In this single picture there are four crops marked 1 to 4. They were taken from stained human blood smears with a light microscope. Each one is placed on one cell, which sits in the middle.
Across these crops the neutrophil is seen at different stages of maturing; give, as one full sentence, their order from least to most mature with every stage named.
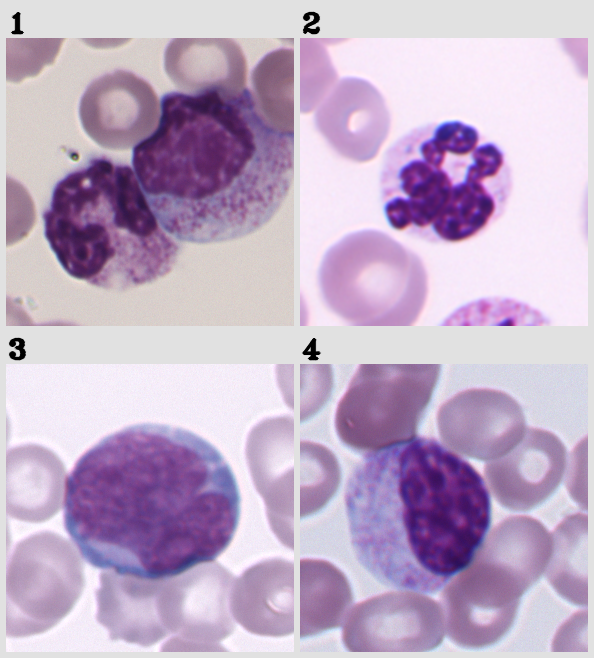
In maturational order, earliest to latest, the sequence is crop 3 (a blast), crop 1 (a myelocyte), crop 4 (a metamyelocyte) and crop 2 (a segmented neutrophil).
